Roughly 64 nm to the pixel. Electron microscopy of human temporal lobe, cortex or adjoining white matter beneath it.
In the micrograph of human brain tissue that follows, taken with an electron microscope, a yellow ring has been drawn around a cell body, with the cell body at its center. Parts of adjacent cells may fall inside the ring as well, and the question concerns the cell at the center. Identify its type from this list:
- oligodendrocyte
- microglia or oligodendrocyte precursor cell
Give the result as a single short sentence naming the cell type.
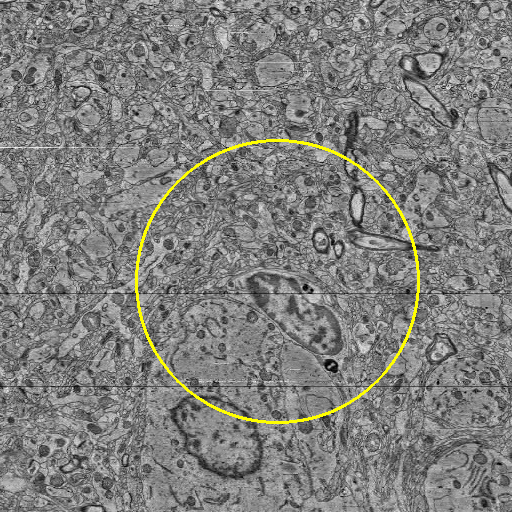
The ring is centered on a microglial cell or oligodendrocyte precursor cell.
